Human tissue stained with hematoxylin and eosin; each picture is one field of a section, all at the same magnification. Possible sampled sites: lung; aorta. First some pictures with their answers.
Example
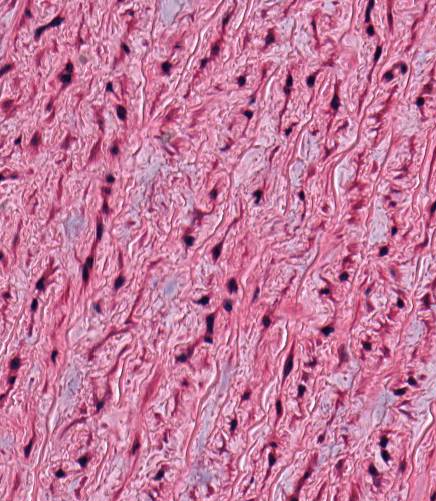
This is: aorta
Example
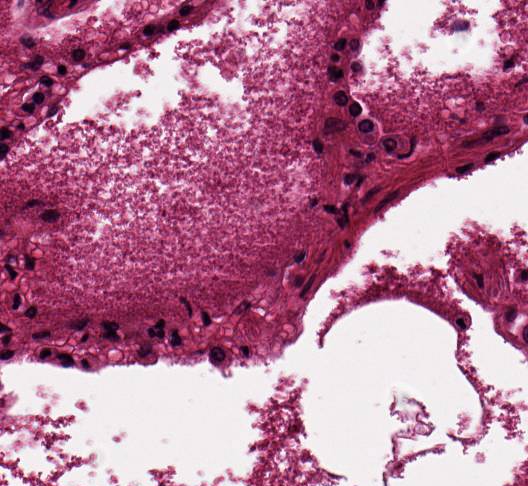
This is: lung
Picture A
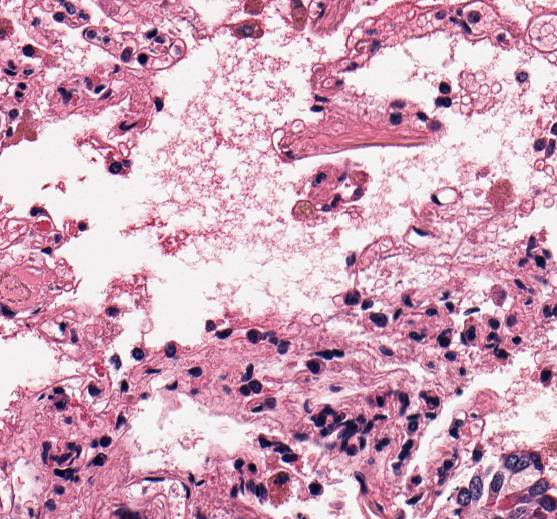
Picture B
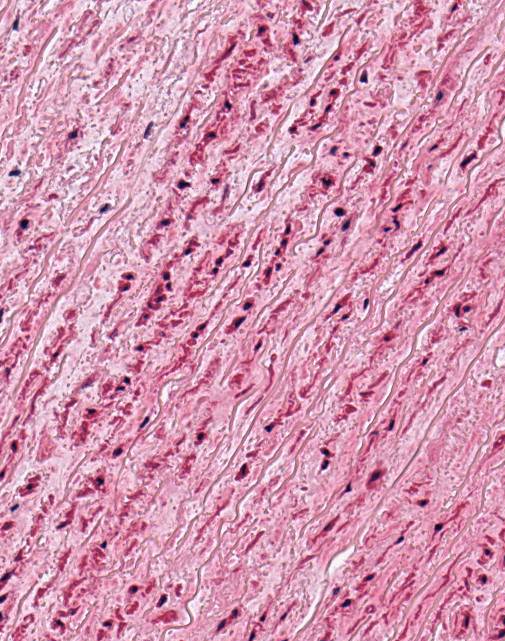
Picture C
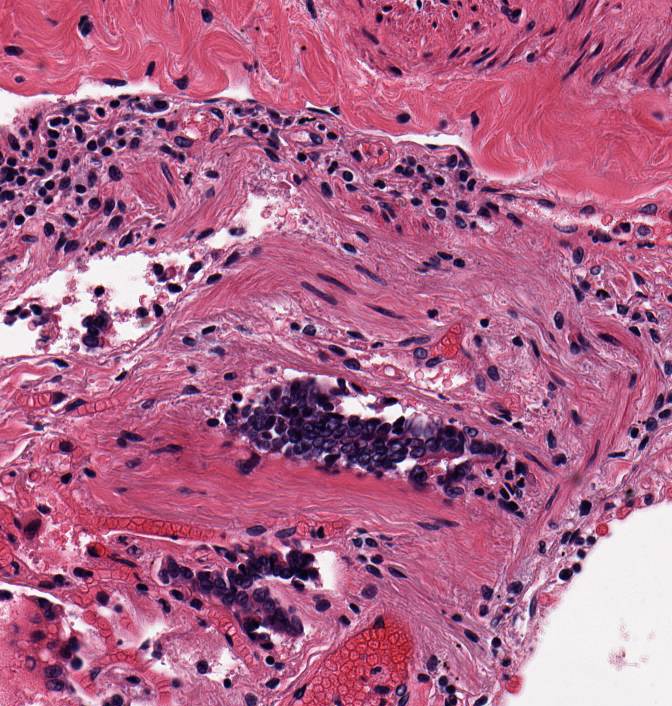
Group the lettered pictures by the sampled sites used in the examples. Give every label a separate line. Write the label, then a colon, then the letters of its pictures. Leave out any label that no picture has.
lung: A, C
aorta: B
